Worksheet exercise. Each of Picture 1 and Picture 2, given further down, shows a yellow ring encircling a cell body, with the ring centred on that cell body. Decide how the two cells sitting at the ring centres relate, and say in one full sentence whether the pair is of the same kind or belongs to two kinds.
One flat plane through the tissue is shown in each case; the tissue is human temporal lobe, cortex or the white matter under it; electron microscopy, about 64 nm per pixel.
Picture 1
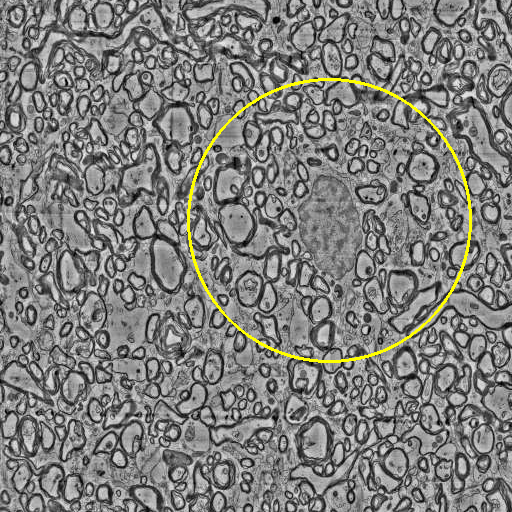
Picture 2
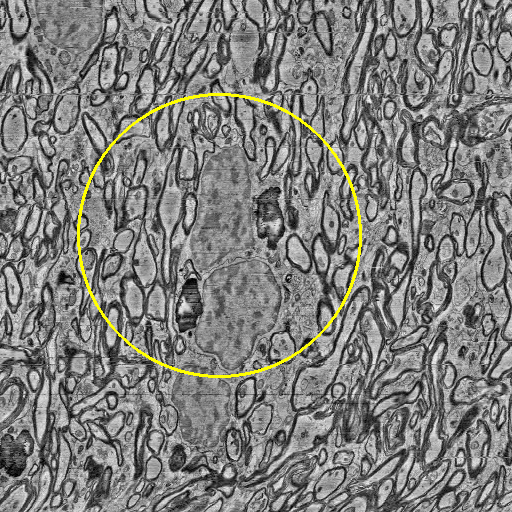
The cells at the ring centres in Picture 1 and Picture 2 are of the same kind.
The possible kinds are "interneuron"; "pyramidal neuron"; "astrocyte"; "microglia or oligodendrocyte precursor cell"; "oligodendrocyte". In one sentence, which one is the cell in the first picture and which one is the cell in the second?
In the first picture and in the second, the ring is centred on an oligodendrocyte.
